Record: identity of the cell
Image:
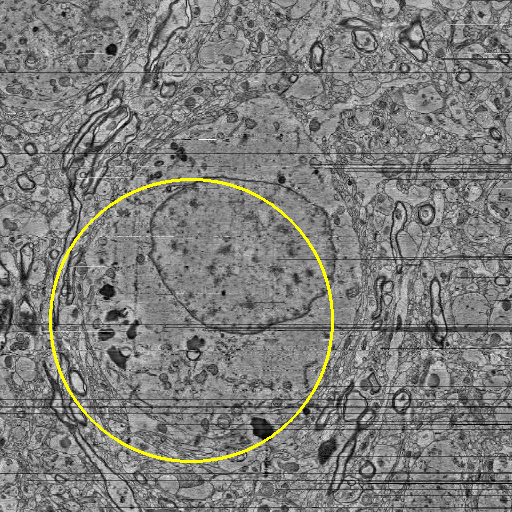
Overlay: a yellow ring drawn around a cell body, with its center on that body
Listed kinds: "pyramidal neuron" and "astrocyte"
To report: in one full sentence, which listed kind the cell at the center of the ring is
In the image, the cell body at the ring's center belongs to a pyramidal neuron.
